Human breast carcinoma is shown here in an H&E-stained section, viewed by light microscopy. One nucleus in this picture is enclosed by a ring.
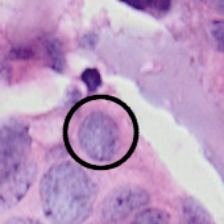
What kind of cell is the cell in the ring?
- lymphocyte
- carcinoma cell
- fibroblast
carcinoma cell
